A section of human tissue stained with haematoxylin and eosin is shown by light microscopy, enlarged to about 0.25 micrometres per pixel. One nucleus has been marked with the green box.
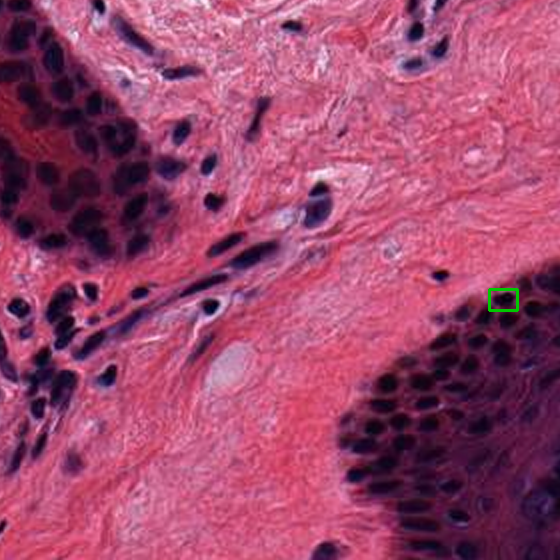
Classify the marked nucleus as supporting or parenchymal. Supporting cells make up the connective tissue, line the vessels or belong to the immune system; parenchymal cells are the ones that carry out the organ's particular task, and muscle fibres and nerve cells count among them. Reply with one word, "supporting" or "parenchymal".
parenchymal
